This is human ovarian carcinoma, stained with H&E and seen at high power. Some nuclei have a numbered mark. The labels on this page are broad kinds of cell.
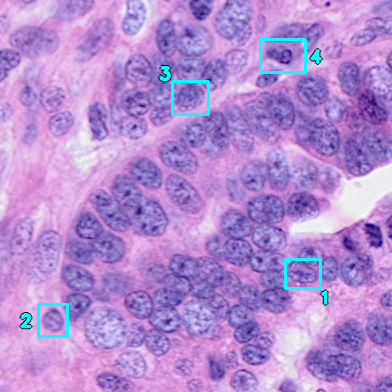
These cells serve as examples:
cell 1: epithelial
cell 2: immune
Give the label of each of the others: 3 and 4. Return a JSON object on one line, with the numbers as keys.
{"3": "epithelial", "4": "immune"}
